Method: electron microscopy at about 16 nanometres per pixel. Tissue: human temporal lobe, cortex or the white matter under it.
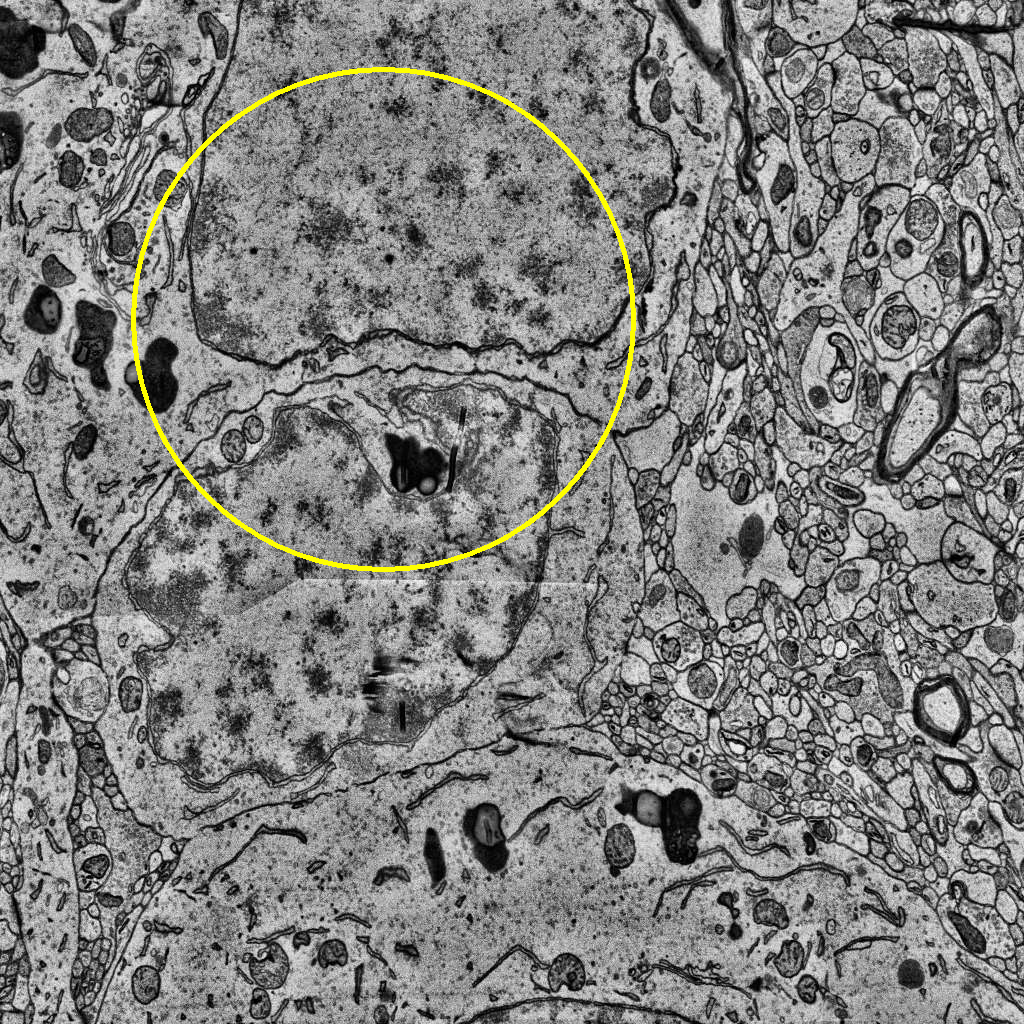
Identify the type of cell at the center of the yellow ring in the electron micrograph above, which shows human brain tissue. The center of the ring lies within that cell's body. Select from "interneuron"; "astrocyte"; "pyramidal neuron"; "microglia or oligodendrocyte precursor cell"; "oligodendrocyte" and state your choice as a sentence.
The center of the yellow ring lies in the body of an interneuron.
